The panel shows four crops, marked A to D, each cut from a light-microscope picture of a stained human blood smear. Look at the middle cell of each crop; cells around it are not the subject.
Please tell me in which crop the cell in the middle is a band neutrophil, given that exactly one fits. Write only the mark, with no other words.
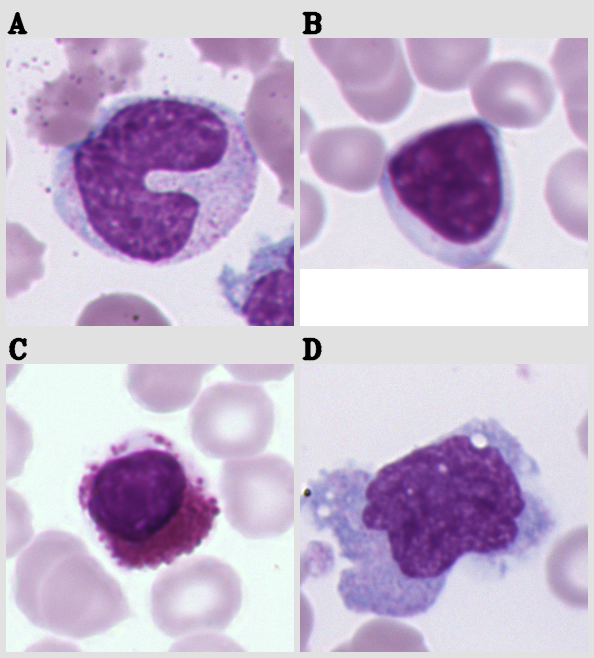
A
